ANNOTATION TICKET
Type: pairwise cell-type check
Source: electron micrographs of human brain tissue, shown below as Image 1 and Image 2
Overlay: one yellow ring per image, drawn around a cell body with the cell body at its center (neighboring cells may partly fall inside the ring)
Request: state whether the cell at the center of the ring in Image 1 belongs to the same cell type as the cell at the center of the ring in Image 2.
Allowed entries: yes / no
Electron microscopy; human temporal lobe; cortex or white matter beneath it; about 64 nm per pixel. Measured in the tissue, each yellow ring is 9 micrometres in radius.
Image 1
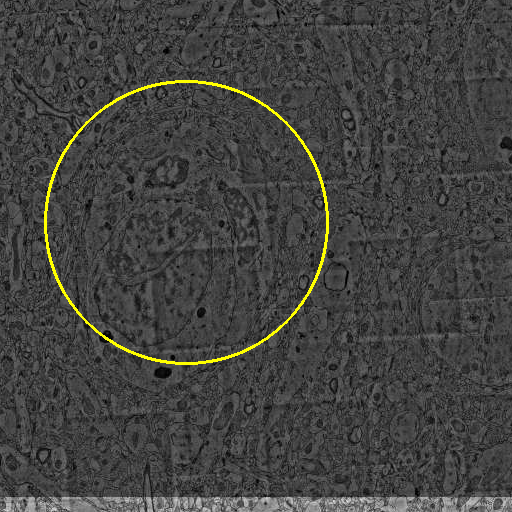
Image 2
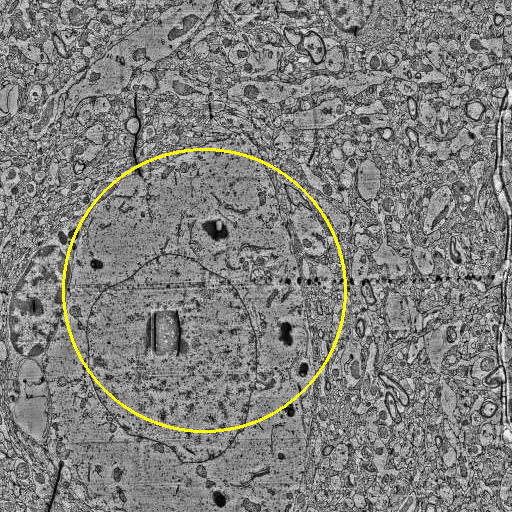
no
